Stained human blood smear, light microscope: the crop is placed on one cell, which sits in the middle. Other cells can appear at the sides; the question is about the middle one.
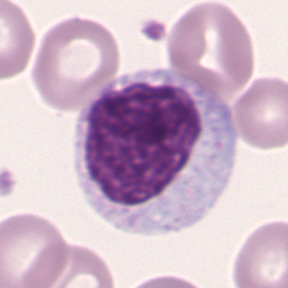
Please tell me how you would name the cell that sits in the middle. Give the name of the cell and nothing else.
metamyelocyte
